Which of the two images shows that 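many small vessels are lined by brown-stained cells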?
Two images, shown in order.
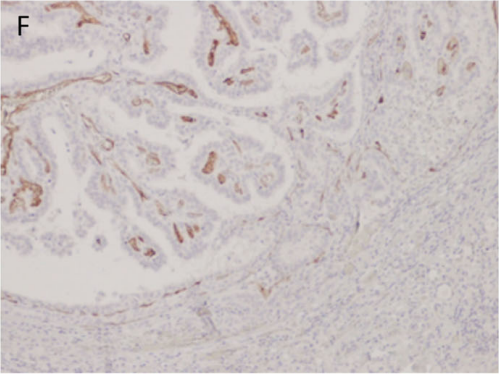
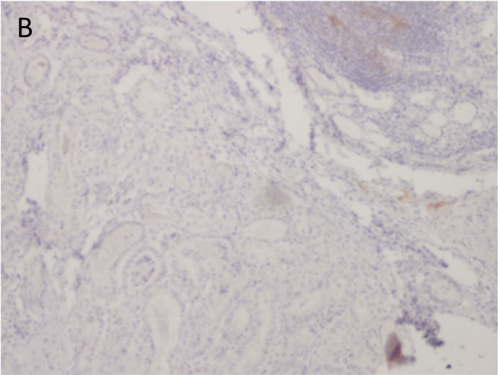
The first image.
